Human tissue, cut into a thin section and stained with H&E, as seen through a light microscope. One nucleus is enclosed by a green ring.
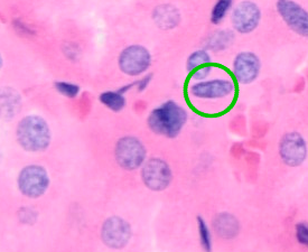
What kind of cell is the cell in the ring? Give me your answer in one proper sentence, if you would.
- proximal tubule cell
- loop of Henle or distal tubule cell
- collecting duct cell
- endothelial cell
By cell type, the cell in the ring is a collecting duct cell.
